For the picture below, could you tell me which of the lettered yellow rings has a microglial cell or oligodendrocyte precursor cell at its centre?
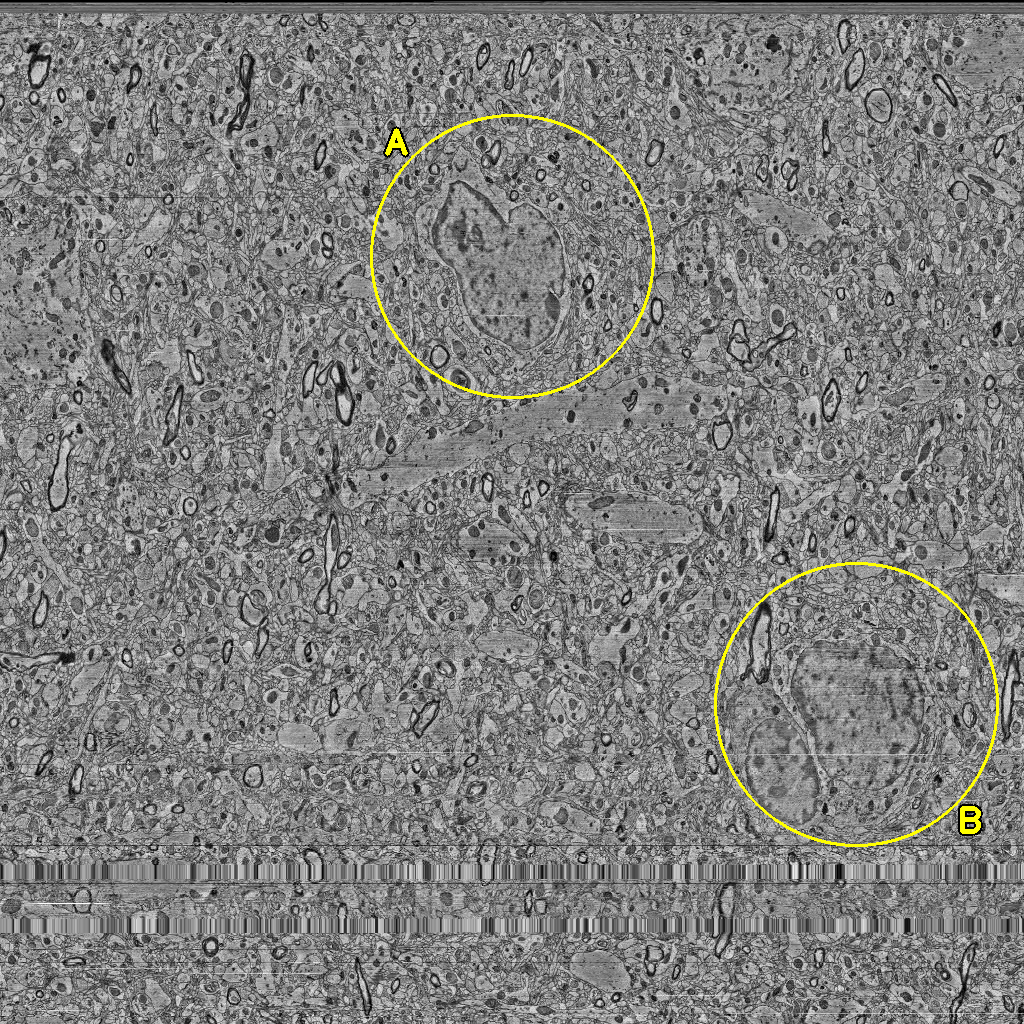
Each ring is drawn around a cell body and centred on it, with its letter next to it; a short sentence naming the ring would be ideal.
Ring A is centred on it.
